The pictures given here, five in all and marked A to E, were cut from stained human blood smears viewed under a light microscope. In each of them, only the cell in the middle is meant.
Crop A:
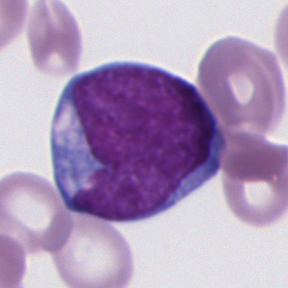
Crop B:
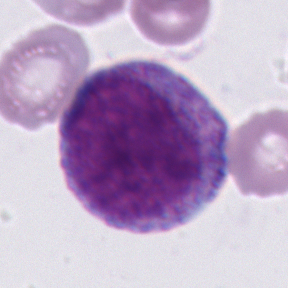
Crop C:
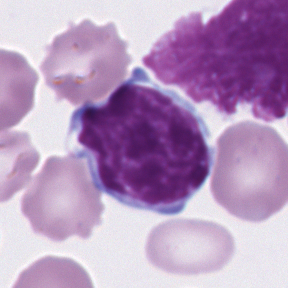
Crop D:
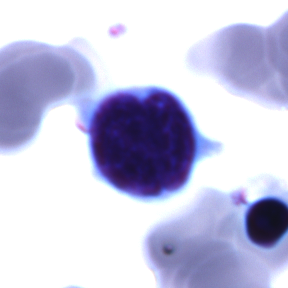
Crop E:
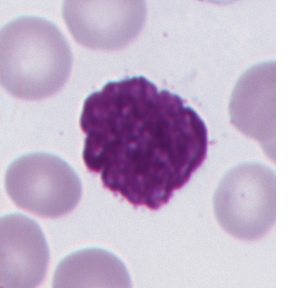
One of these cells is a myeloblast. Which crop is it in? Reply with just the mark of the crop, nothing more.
A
